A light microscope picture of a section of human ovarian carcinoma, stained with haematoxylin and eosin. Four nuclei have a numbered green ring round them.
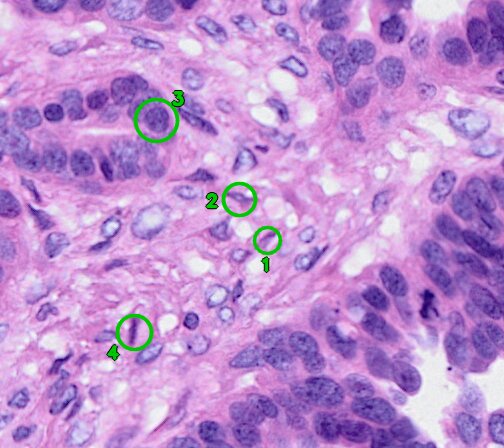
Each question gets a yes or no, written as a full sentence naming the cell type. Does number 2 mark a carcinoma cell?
No, cell 2 is a fibroblast, not a carcinoma cell.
